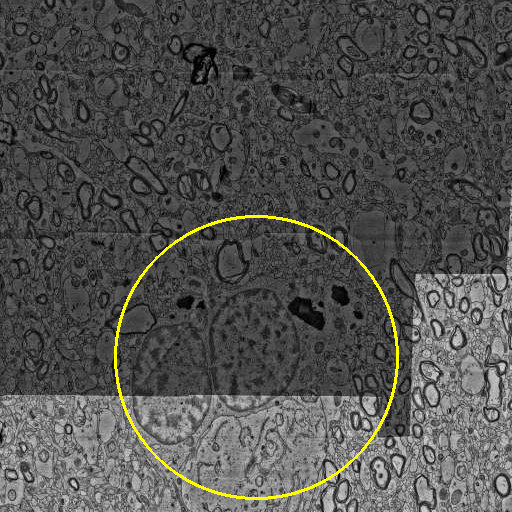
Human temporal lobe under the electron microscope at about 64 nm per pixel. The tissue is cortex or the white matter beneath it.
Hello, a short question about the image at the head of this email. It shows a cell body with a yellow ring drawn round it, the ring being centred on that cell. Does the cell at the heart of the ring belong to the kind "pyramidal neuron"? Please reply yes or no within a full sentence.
No, the cell at the heart of the ring in that image is of a different kind.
